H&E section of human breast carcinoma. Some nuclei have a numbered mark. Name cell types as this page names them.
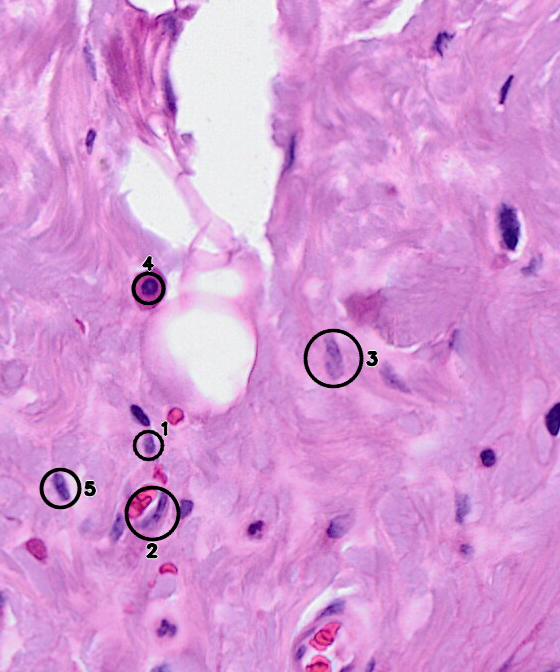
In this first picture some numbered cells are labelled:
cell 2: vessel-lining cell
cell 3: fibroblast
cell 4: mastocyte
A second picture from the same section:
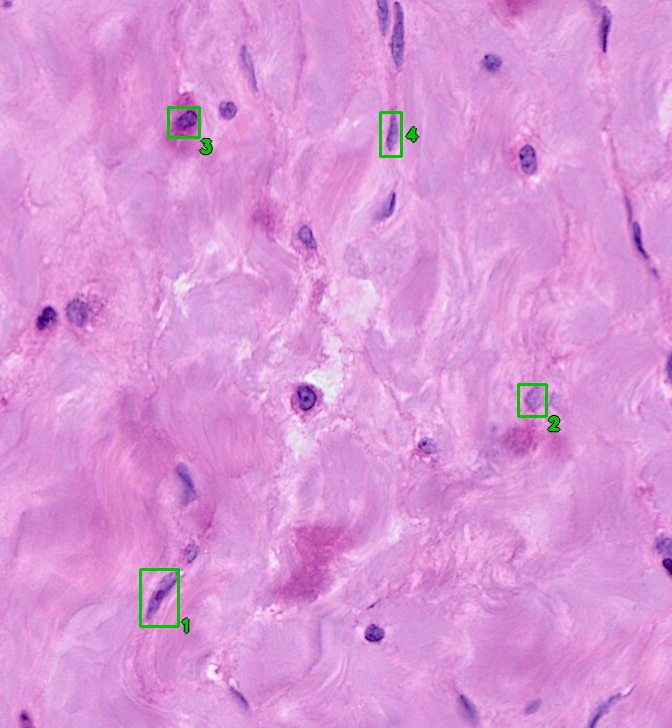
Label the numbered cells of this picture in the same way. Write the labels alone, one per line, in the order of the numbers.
fibroblast
fibroblast
mastocyte
fibroblast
